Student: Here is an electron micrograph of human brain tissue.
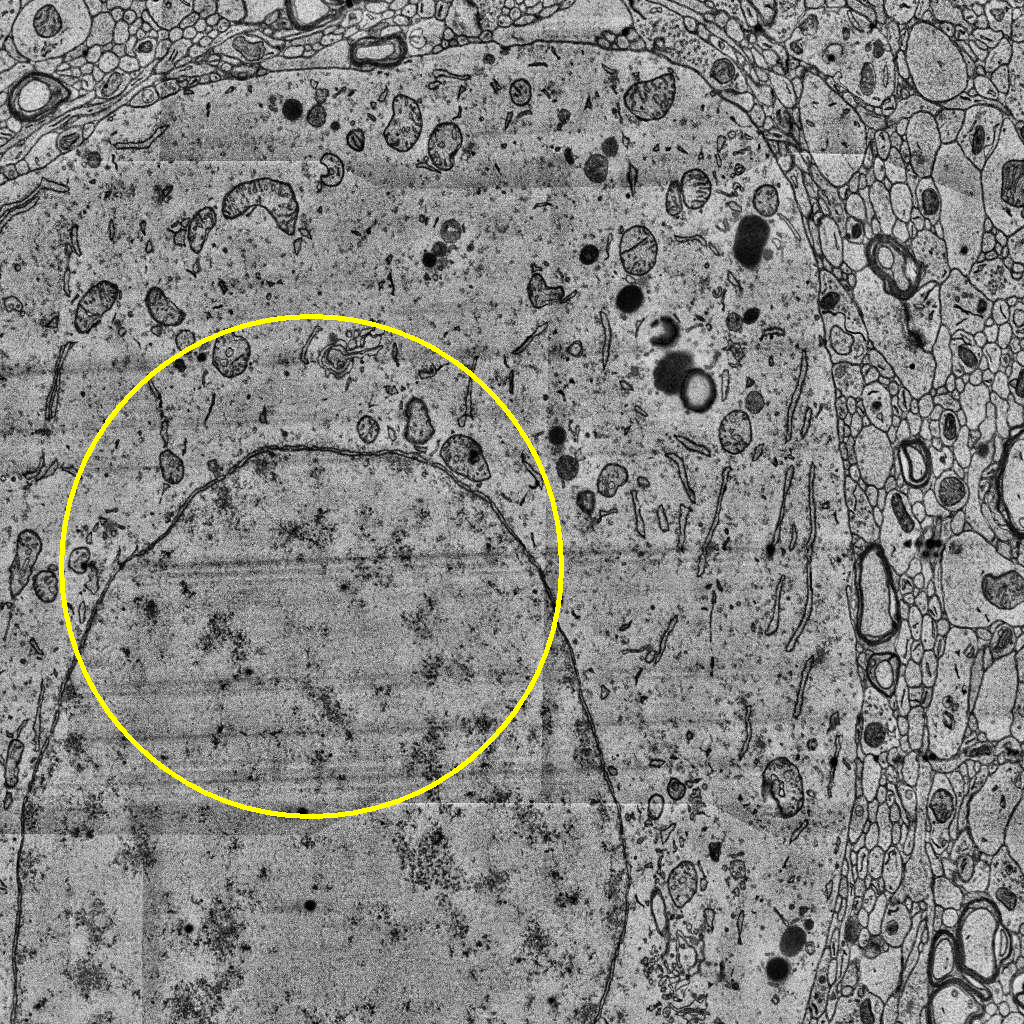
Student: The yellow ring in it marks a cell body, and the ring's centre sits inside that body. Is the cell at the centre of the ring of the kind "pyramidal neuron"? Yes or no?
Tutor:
yes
